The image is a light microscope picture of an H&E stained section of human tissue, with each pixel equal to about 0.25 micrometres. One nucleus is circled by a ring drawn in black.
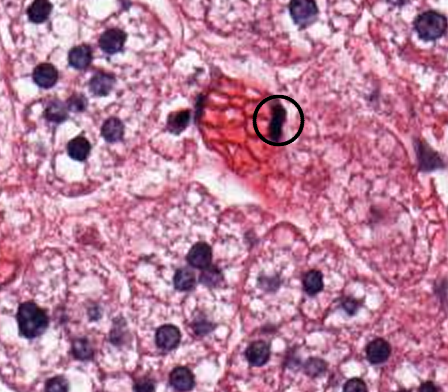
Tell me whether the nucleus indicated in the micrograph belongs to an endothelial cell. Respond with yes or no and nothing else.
yes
